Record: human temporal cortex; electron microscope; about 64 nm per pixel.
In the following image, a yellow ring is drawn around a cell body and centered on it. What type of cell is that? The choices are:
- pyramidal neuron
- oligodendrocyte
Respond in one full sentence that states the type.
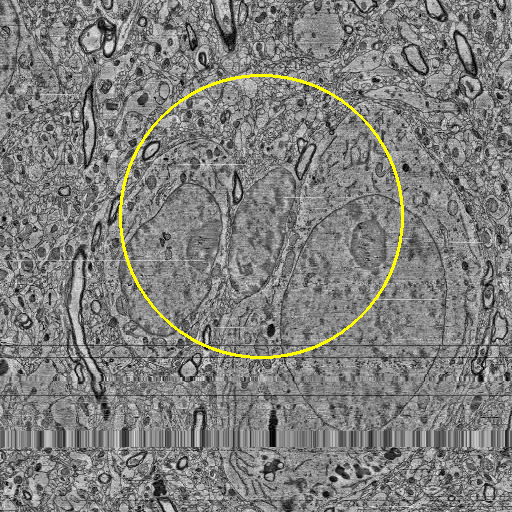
The cell at the center of the yellow ring in the image is an oligodendrocyte.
